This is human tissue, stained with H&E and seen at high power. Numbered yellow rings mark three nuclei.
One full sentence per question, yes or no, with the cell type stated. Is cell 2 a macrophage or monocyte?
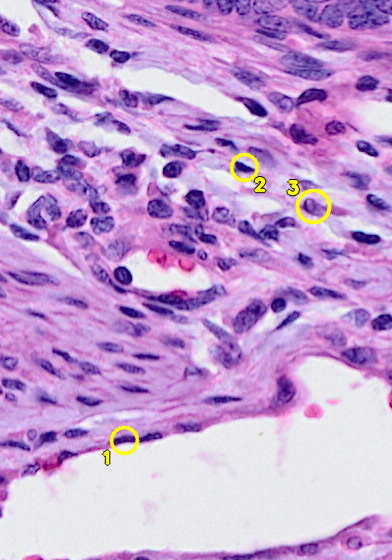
No, the marker 2 sits on a lymphocyte, not on a macrophage or monocyte.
